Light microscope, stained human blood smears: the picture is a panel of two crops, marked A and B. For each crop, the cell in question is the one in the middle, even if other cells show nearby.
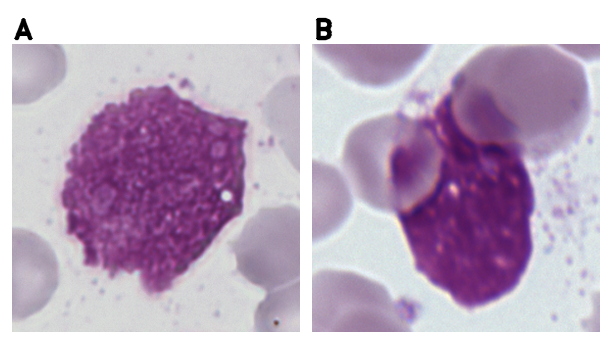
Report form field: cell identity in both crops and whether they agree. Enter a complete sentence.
Yes, smudge cells lie at the centre of both crops.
